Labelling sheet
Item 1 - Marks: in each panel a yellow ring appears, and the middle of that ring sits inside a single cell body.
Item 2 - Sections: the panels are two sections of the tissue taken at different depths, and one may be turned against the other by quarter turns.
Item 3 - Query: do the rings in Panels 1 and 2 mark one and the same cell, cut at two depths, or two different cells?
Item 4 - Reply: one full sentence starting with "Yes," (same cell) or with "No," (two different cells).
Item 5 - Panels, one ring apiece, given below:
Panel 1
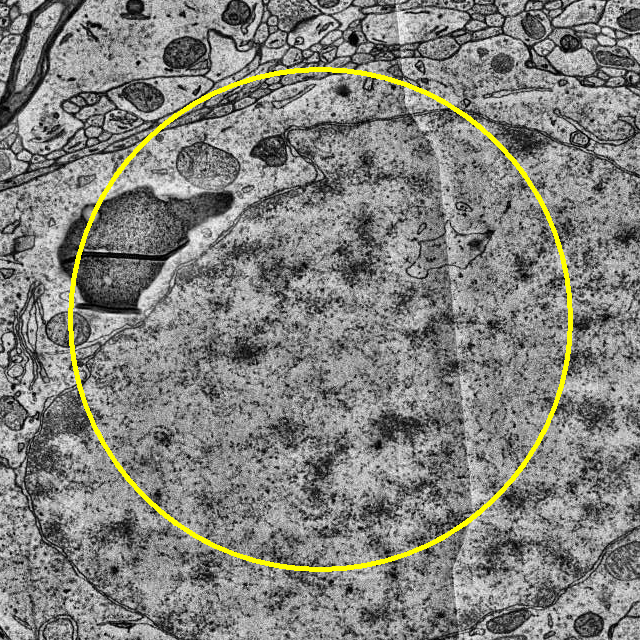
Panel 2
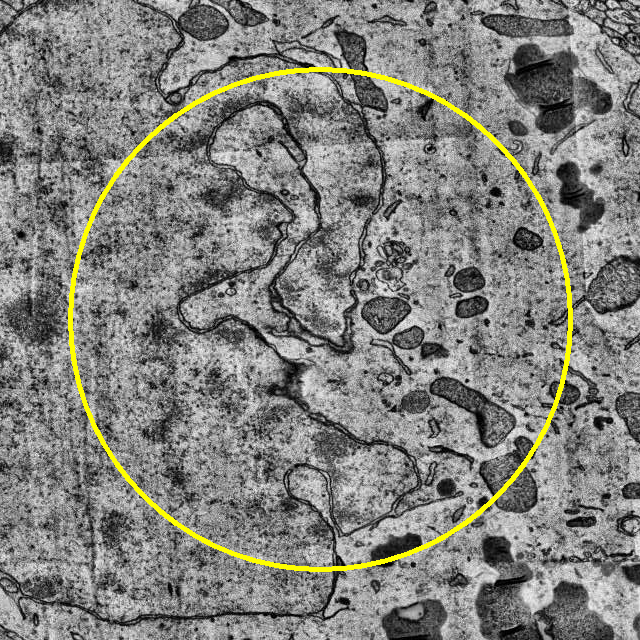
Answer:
No, the two rings mark two different cells.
